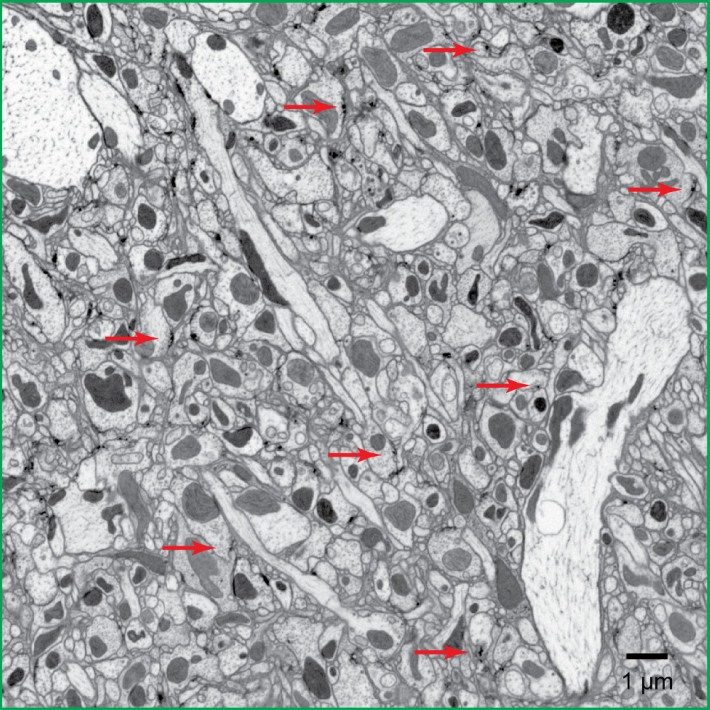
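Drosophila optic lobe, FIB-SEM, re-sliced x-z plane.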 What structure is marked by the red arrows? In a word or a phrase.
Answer: Synaptic structures.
